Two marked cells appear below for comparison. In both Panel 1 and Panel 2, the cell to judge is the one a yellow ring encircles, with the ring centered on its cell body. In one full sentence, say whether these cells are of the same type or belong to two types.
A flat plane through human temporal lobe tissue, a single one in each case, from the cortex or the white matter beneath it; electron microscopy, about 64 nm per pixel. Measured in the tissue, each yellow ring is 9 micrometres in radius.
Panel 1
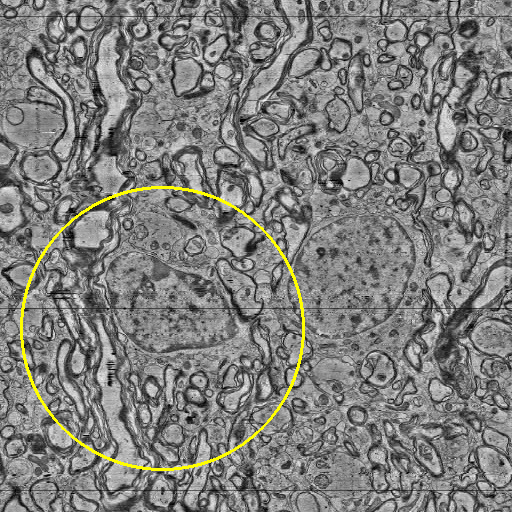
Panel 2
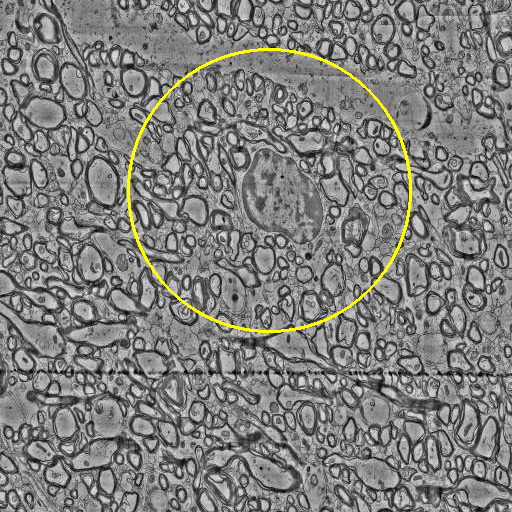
The cell centered in the Panel 1 ring and the one in Panel 2 are of the same type.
